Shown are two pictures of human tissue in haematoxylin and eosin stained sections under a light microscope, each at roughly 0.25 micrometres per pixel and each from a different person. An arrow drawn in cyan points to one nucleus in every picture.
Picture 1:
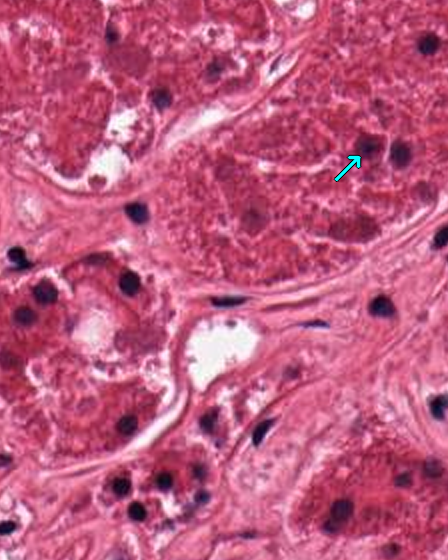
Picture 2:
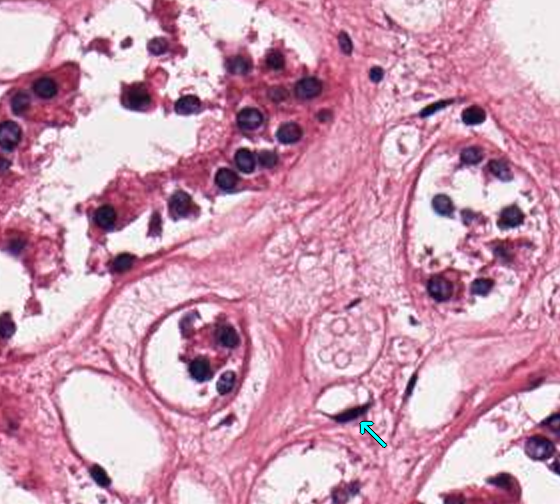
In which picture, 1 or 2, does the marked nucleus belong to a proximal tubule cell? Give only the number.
1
